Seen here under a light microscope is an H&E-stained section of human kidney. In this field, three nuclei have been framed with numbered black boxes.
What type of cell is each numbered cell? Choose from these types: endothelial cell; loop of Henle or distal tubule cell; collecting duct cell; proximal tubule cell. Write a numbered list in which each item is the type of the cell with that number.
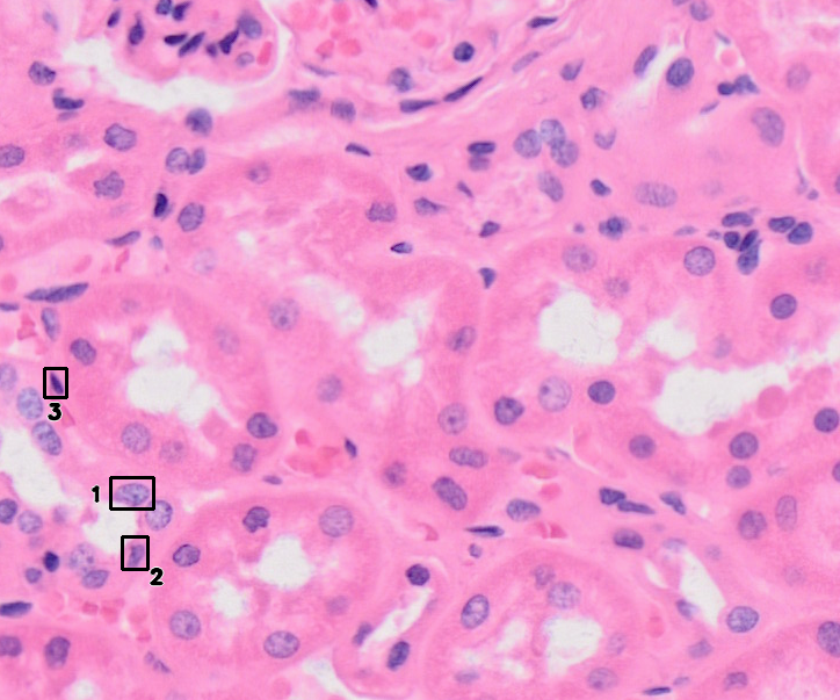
1. collecting duct cell
2. collecting duct cell
3. endothelial cell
